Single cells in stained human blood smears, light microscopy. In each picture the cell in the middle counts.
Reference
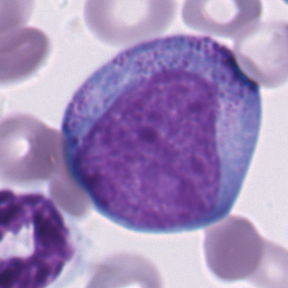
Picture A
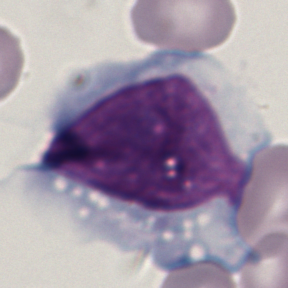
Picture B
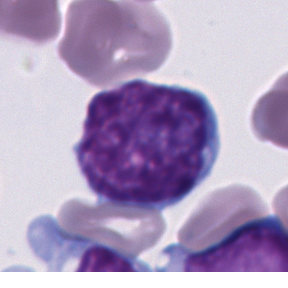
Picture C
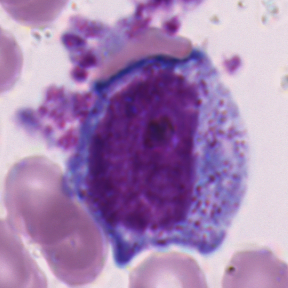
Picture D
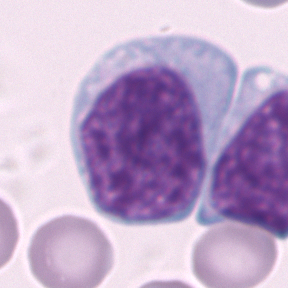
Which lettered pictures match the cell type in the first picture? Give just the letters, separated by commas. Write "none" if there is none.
C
